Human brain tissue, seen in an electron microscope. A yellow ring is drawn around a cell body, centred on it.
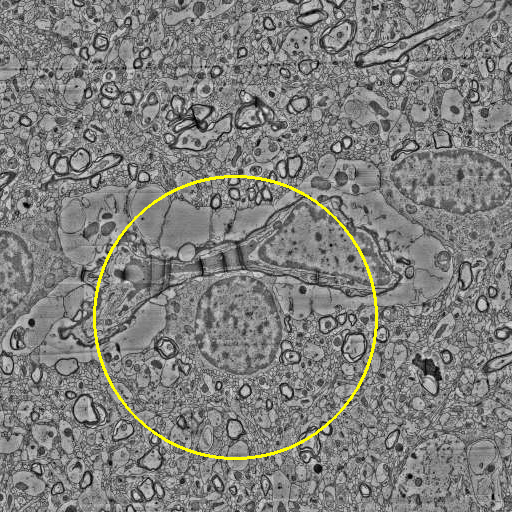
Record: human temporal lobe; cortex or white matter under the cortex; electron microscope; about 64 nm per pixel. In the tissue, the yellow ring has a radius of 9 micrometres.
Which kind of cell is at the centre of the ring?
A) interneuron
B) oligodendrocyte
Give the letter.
B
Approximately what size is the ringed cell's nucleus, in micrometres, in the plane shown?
Approximately 6 micrometres across, in this plane.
